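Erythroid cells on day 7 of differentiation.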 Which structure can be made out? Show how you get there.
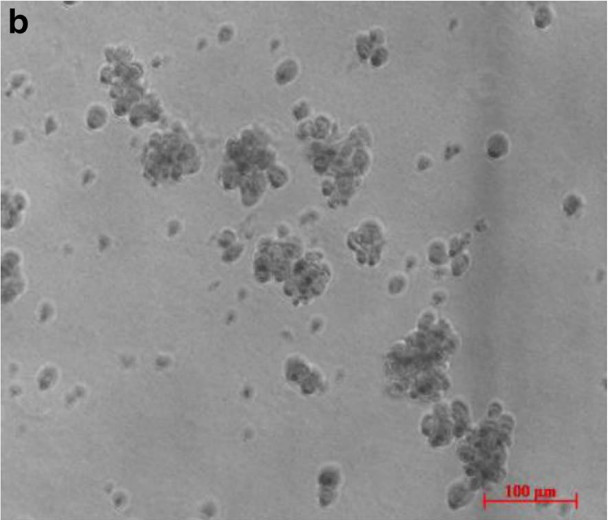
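Round cells are gathered into tight grape-like aggregates. Single round cells lie scattered between the aggregates.
Conclusion: cluster-like colonies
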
